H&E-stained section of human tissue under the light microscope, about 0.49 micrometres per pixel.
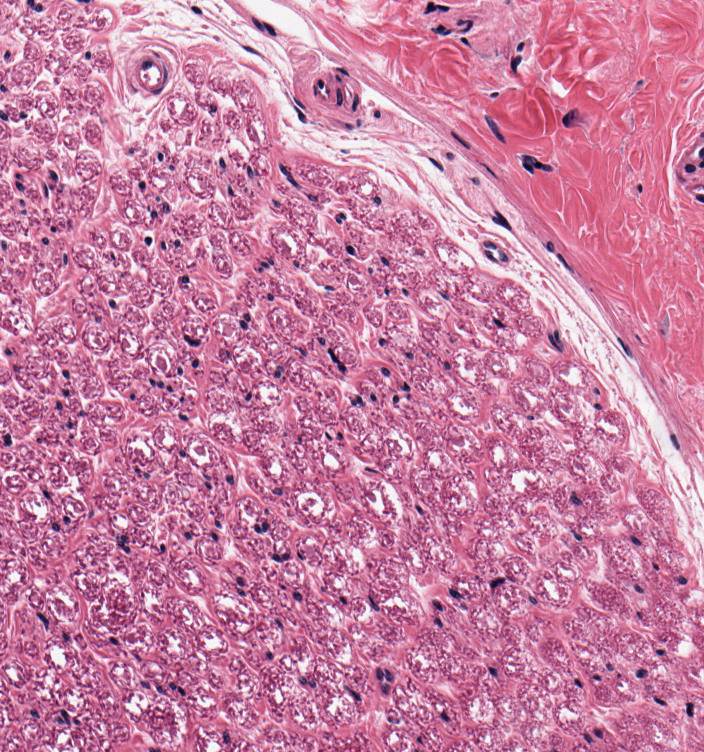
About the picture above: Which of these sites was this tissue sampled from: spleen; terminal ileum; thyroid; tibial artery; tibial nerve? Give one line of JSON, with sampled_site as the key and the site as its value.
{"sampled_site": "tibial nerve"}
